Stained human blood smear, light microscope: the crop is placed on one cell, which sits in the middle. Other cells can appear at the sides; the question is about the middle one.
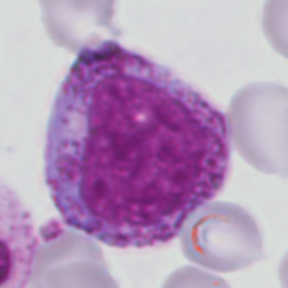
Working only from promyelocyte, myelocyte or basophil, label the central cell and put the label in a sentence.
Standing at the centre of this crop is a promyelocyte.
